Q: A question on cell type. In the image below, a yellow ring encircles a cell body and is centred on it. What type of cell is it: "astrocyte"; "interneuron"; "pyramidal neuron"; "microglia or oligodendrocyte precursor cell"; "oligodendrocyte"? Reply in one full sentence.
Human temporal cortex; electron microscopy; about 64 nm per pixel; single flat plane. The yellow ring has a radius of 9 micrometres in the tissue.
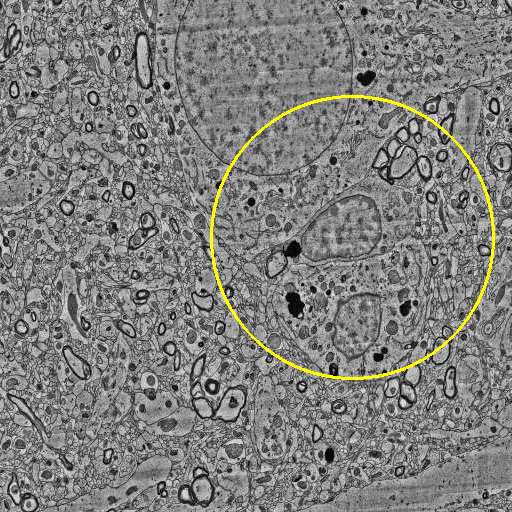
It is an oligodendrocyte whose cell body sits at the centre of the yellow ring in the image.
